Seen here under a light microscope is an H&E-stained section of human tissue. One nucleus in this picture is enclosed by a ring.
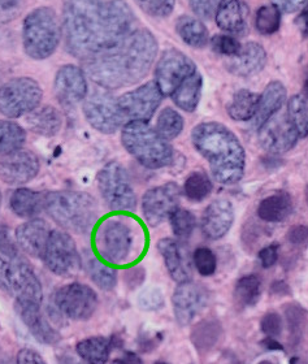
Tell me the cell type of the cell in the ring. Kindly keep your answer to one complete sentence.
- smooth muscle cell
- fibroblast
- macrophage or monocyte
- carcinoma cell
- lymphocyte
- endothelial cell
In cellular terms, the cell in the ring is a carcinoma cell.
